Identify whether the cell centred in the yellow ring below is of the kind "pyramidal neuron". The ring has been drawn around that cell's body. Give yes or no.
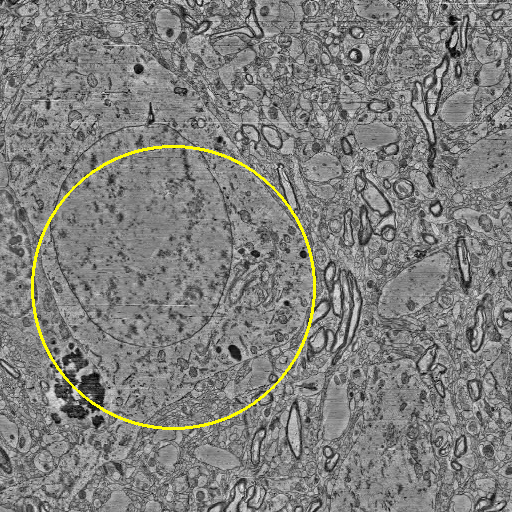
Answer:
yes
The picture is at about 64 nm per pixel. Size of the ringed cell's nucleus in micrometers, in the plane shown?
The nucleus comes to roughly 16 by 13 micrometres in this plane.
